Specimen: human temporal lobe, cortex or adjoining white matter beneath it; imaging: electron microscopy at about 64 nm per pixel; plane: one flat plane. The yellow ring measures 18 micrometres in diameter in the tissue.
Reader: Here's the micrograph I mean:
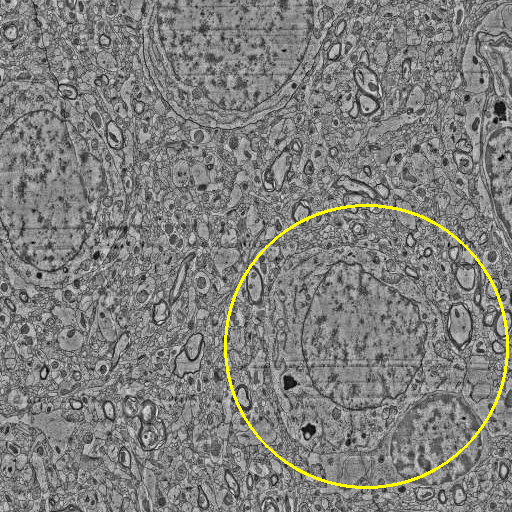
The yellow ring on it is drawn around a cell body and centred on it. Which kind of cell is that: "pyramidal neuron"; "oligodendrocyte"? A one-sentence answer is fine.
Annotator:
The ring is centred on a pyramidal neuron.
